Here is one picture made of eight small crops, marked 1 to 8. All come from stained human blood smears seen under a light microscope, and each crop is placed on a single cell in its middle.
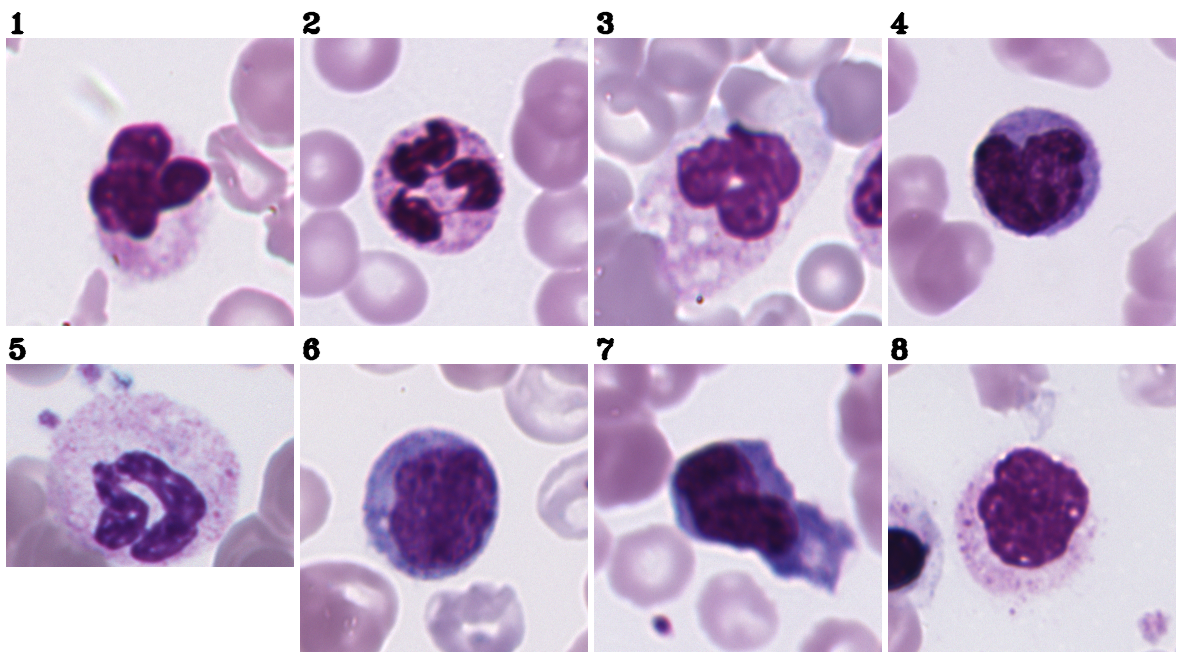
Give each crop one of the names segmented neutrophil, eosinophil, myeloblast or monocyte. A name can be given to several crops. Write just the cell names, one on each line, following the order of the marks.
segmented neutrophil
segmented neutrophil
segmented neutrophil
monocyte
segmented neutrophil
monocyte
monocyte
segmented neutrophil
